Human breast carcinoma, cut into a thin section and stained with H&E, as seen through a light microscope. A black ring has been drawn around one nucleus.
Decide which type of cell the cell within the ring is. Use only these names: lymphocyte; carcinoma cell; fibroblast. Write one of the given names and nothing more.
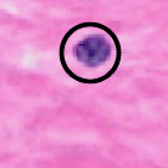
lymphocyte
